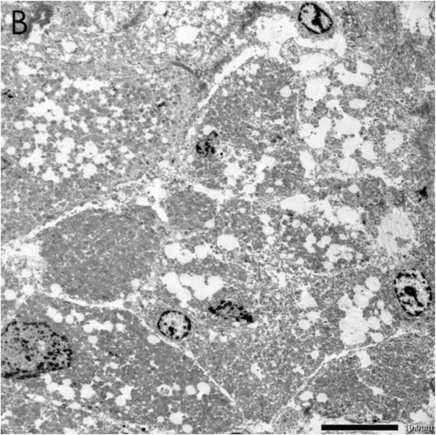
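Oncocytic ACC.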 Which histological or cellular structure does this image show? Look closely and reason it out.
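The cytoplasm is crowded with small dark round organelles. Pale, empty round spaces are scattered among them. On this evidence: tightly packed mitochondria and lipid vacuoles.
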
